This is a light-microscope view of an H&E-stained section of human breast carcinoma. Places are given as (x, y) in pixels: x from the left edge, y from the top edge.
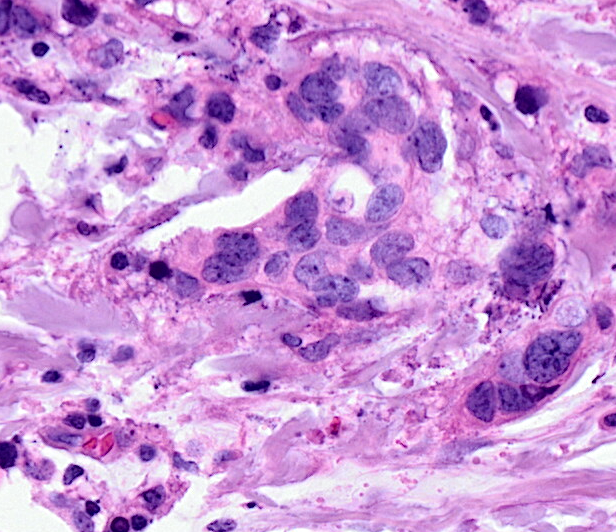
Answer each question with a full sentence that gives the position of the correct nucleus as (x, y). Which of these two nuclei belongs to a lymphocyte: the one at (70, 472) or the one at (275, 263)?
Heads up, the nucleus at (70, 472) is the one that belongs to a lymphocyte.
